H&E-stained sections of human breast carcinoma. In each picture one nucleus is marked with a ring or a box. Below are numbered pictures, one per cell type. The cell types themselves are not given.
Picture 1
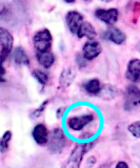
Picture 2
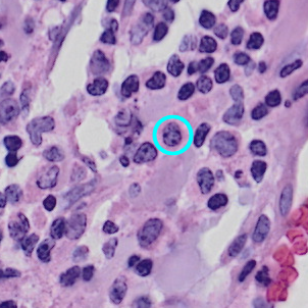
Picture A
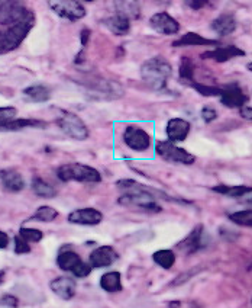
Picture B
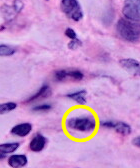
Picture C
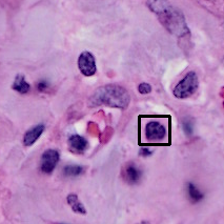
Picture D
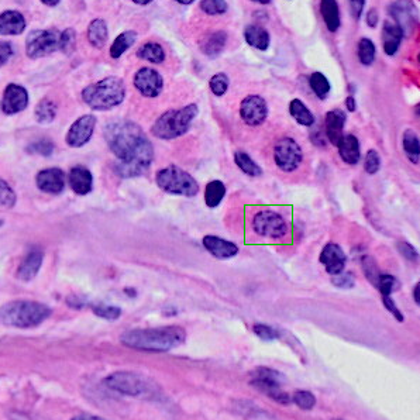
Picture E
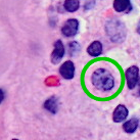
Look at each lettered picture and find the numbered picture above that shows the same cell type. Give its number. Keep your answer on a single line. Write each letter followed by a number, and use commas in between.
A 1, B 1, C 2, D 2, E 2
